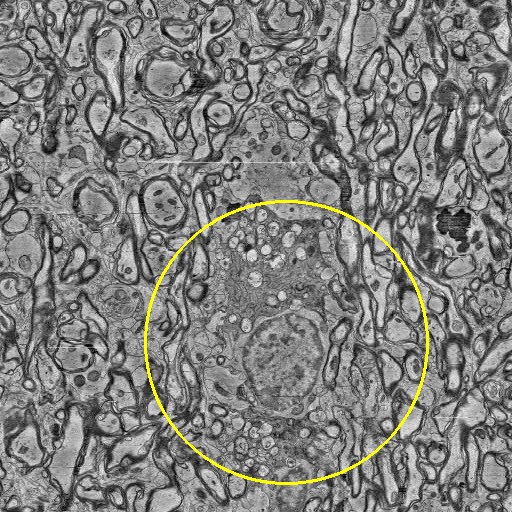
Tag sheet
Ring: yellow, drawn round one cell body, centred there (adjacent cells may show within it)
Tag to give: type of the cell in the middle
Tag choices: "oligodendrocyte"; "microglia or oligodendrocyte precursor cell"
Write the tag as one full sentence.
I tag the cell centred in the yellow ring as an oligodendrocyte in this picture.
